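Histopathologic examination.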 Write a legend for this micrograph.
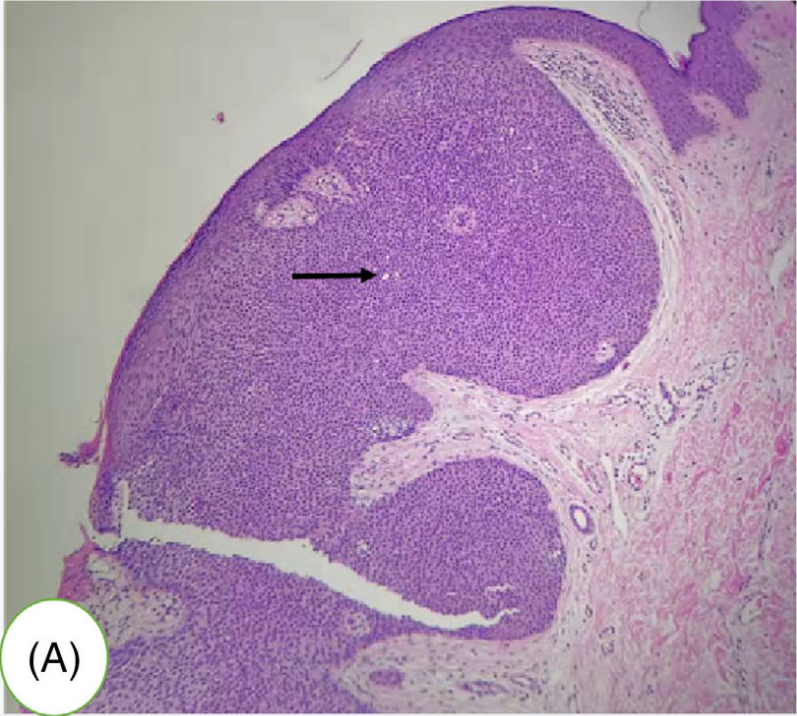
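At low power, skin shows broad, anastomosing bands of basaloid epithelial cells that stay continuous with the overlying epidermis and extend down into the dermis. The bands are deep purple because of the densely packed nuclei, and they form rounded lobules separated by pink fibrous stroma containing small vessels. Within the lobules lie a few small pale spaces and paler round foci. A cleft-like artefactual space separates two parts of the lesion. The deeper dermis consists of pink collagen bundles.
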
